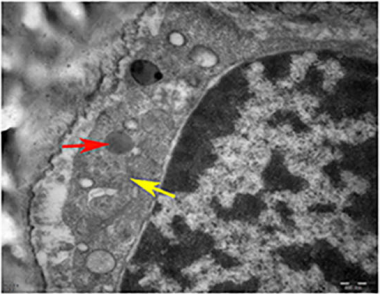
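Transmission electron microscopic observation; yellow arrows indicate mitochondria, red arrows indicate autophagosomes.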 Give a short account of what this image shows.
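This electron micrograph shows part of a cell with a large nucleus whose chromatin forms dark, coarse clumps against a paler nucleoplasm. The cell membrane borders pale extracellular space on the left.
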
